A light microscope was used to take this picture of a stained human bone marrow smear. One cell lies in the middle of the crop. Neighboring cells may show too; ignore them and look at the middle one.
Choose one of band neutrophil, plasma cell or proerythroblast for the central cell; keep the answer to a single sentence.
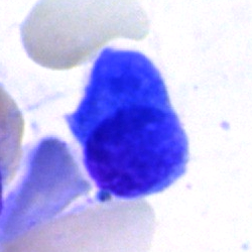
Classified as a plasma cell is the cell in the middle of this crop.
